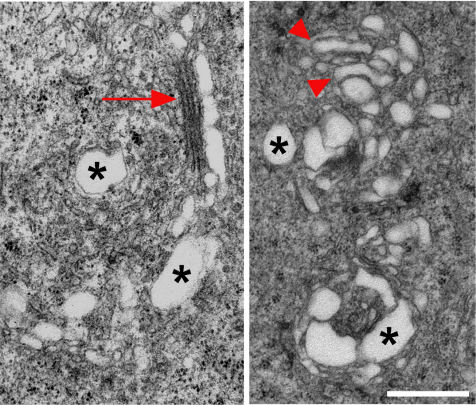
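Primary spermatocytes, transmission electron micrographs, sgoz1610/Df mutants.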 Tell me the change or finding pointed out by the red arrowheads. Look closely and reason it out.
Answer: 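The arrowheads point to flattened membrane sacs that are widened into pale irregular lumens. Many dilated sacs cluster together rather than forming a tight stack.
Enlarged cisternae.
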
